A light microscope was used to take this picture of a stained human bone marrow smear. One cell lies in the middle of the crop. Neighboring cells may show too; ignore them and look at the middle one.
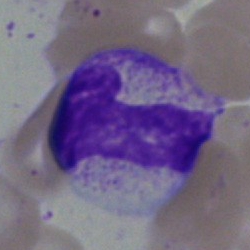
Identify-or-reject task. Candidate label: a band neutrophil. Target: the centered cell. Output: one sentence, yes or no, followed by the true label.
Yes, the crop's central cell is a band neutrophil.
